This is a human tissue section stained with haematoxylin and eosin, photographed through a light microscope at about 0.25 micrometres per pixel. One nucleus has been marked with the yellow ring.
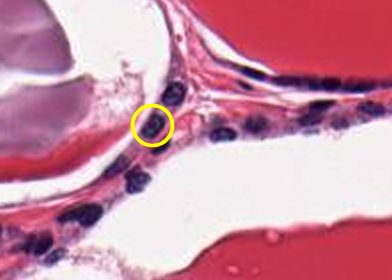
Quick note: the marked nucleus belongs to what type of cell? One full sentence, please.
It is a thyroid follicular cell that the marked nucleus belongs to.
